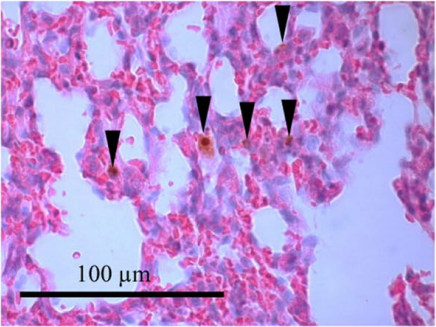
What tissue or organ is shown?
Lung.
